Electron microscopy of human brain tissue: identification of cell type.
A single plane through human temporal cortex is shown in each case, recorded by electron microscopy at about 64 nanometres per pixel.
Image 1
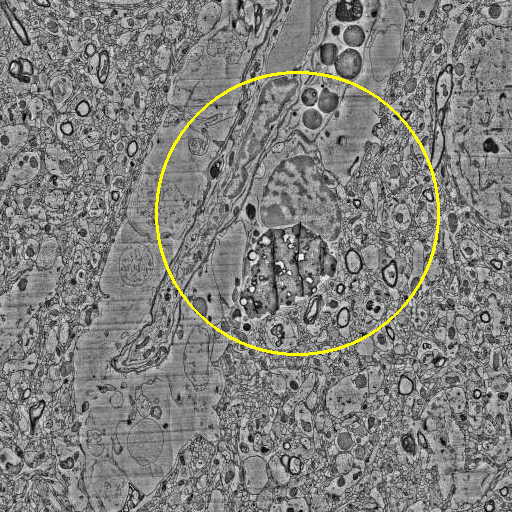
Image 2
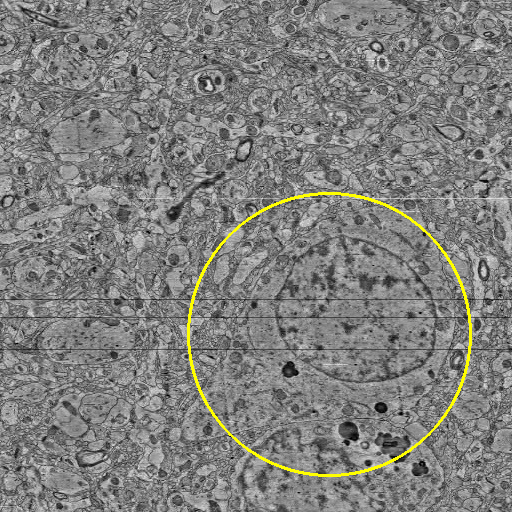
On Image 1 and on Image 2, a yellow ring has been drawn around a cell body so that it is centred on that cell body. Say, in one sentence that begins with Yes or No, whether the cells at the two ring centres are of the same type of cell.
No, the two cells are two separate types of cell.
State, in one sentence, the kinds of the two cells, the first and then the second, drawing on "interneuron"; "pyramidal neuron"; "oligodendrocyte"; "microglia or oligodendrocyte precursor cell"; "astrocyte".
The ring in the second picture is centred on a pyramidal neuron, the ring in the first on a microglial cell or oligodendrocyte precursor cell.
